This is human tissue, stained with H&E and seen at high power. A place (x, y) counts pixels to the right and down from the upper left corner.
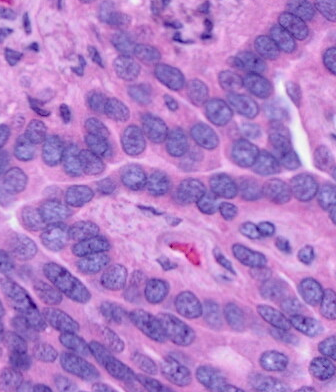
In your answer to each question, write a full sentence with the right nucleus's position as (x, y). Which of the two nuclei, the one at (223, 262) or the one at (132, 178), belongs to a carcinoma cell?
The nucleus located at (132, 178) is the one held within a carcinoma cell.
